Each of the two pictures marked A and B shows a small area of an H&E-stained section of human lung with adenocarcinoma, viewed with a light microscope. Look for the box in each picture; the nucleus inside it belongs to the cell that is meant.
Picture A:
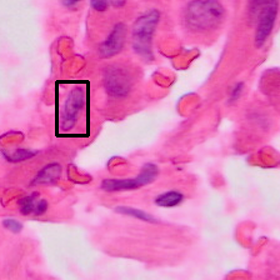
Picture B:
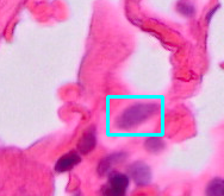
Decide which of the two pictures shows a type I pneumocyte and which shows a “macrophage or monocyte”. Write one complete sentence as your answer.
In picture A the cell is a “macrophage or monocyte”; in picture B, a type I pneumocyte.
